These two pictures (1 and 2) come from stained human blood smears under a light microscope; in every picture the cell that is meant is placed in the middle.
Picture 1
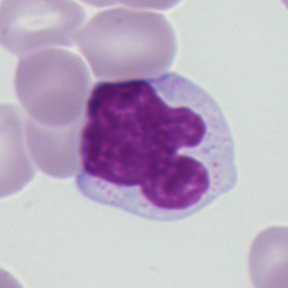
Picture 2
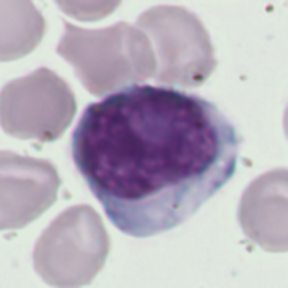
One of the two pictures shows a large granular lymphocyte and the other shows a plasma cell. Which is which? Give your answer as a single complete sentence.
It is picture 1 that shows a large granular lymphocyte, and picture 2 that shows a plasma cell.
